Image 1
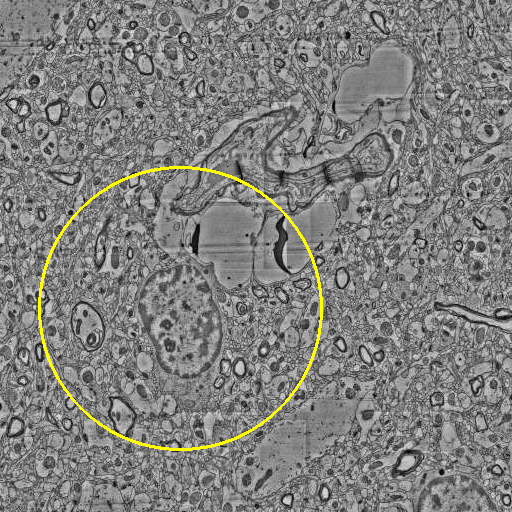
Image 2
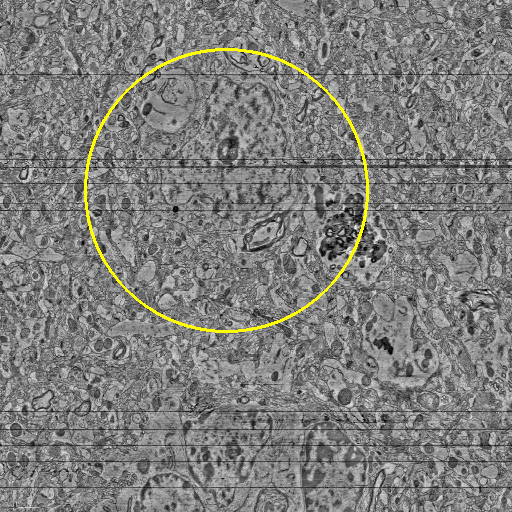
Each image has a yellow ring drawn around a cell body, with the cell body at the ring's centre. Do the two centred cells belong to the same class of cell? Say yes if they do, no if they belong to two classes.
no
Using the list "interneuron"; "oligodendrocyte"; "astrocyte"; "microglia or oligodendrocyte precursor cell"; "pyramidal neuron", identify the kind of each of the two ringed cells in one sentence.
The first is an oligodendrocyte and the second is an interneuron.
